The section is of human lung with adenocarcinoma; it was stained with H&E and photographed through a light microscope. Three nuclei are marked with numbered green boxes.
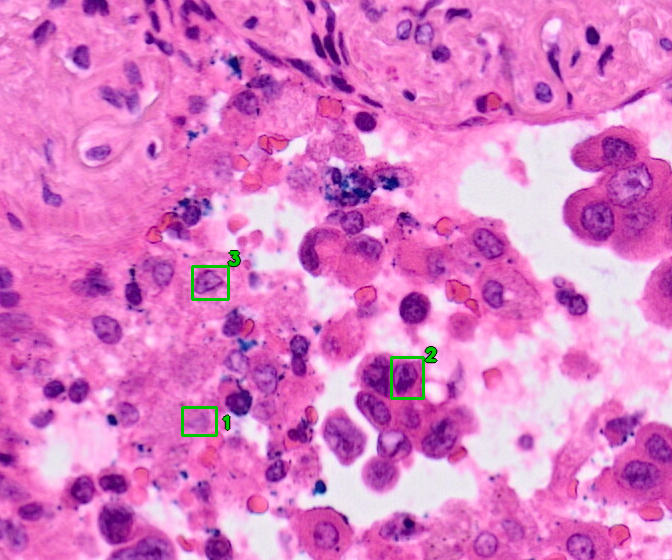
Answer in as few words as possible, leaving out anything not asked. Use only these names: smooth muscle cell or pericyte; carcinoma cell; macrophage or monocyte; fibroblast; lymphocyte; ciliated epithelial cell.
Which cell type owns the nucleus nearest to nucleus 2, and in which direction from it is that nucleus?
a carcinoma cell; to the left of nucleus 2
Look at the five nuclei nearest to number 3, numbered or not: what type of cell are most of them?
lymphocyte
